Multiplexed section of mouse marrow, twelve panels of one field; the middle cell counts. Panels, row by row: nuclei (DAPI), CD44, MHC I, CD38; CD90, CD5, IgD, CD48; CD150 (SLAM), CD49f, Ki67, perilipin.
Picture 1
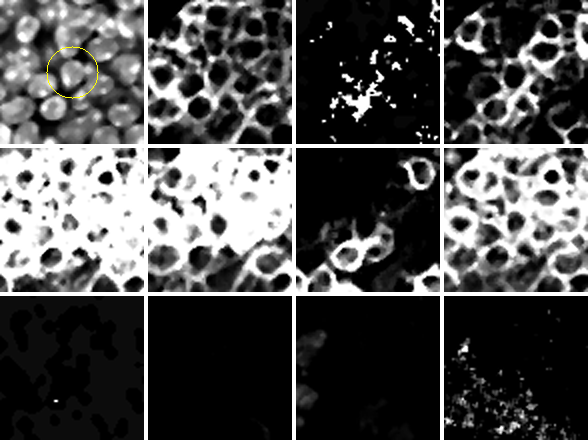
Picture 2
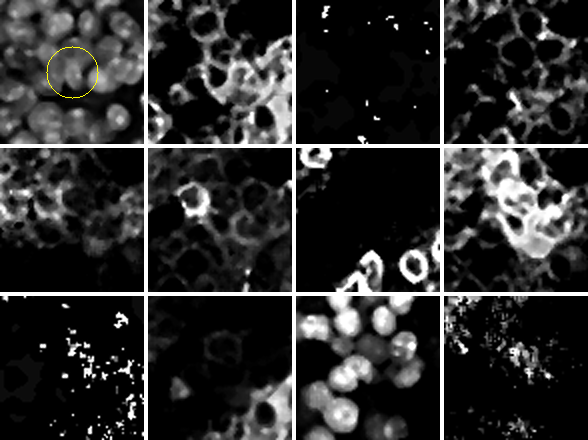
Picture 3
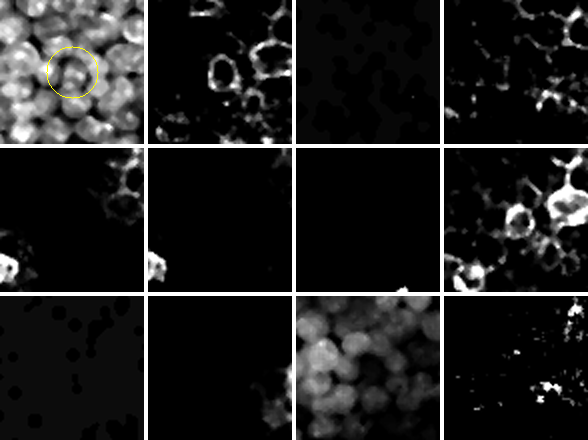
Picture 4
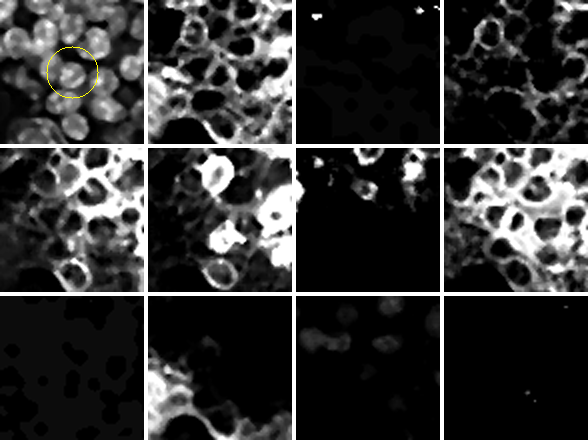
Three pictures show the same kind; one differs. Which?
Picture 1: a T cell, while the others are monocytes.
